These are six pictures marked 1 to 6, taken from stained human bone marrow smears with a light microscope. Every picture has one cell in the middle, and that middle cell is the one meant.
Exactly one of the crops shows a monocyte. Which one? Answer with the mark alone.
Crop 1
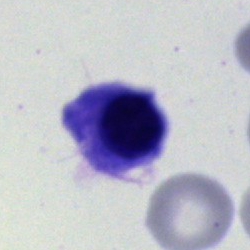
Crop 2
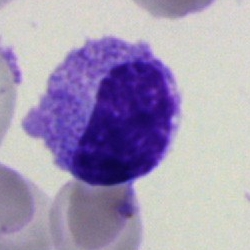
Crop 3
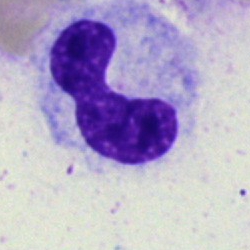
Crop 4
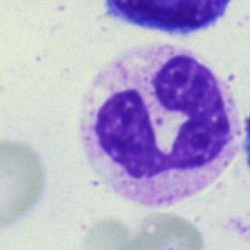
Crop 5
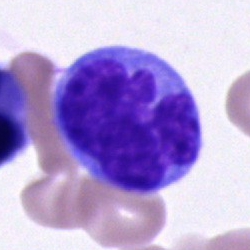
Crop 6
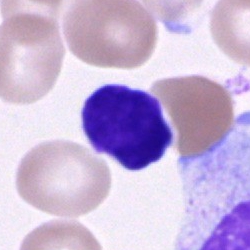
5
